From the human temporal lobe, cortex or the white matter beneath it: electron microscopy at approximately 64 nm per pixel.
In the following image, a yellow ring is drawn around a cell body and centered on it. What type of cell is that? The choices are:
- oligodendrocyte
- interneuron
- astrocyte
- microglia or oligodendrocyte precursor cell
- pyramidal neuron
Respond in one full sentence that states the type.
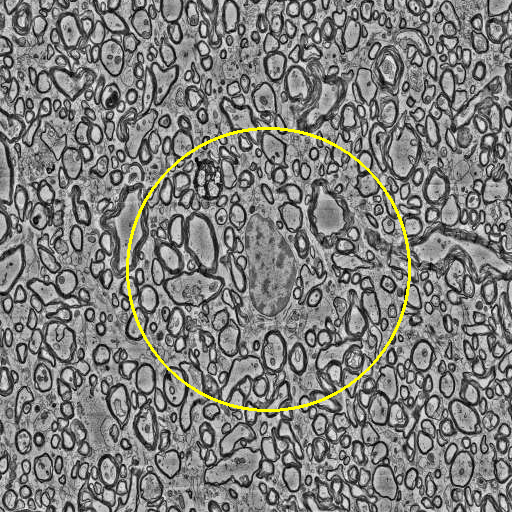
The cell at the center of the yellow ring in the image is a microglial cell or oligodendrocyte precursor cell.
